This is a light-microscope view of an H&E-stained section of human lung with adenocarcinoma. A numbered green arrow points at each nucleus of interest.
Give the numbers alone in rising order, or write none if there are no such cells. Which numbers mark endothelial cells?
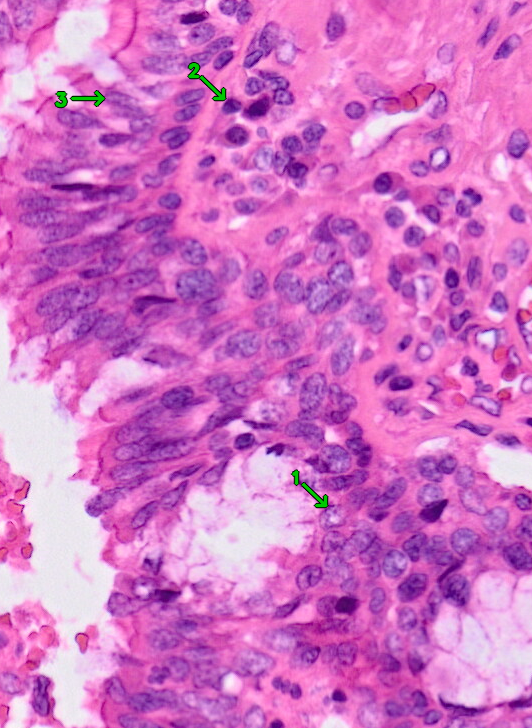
none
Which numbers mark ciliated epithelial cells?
1, 3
